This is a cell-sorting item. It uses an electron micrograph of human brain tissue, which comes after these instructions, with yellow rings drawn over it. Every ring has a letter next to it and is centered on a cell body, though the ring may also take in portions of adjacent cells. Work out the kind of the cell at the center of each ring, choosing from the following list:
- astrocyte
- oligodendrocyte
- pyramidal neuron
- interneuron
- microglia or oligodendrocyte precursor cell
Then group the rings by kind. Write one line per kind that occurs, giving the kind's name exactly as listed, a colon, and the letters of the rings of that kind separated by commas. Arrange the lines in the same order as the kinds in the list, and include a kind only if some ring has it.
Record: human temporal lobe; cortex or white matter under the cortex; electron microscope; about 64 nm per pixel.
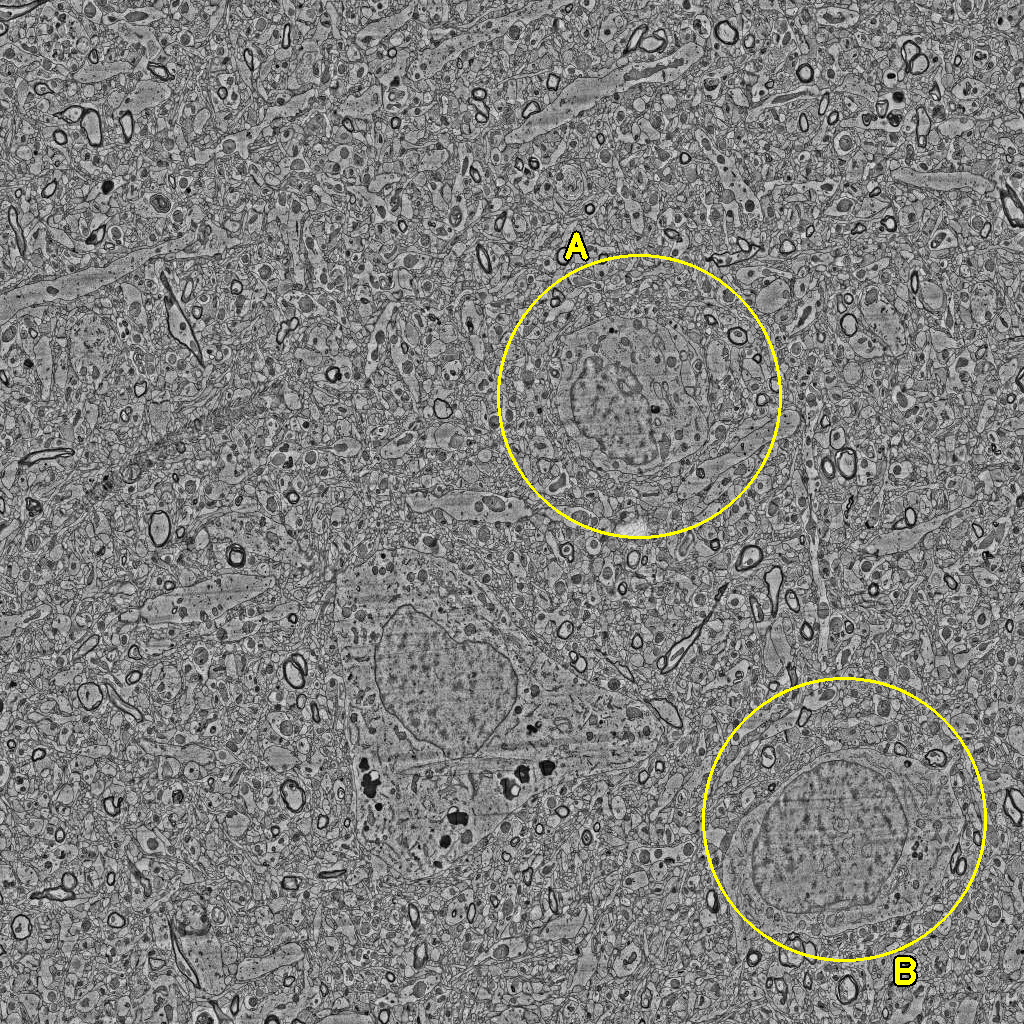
interneuron: A, B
